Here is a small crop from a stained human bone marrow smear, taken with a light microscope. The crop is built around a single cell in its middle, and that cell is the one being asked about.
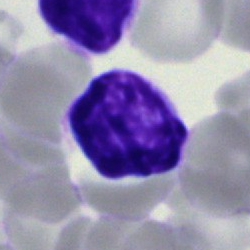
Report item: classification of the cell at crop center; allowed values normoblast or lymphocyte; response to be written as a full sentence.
The single cell at the center of the crop is a lymphocyte.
